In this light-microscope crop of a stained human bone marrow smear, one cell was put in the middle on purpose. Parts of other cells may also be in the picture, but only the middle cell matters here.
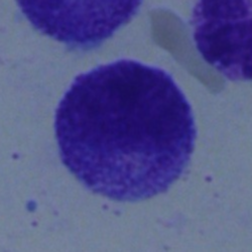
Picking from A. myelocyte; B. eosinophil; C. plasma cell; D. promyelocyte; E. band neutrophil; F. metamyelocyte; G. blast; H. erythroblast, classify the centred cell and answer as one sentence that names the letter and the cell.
Option A is correct in naming the middle cell a myelocyte.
